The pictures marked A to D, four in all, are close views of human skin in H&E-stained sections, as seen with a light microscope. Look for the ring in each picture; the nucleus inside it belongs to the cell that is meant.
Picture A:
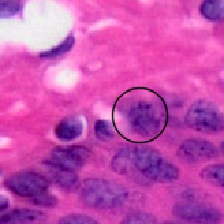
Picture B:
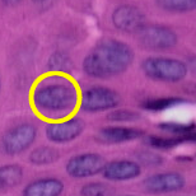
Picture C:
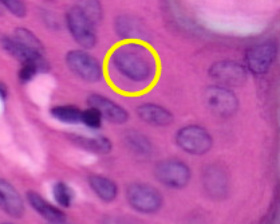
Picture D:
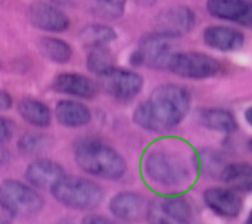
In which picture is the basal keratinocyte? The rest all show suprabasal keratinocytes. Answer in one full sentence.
The cell in picture A is the basal keratinocyte.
